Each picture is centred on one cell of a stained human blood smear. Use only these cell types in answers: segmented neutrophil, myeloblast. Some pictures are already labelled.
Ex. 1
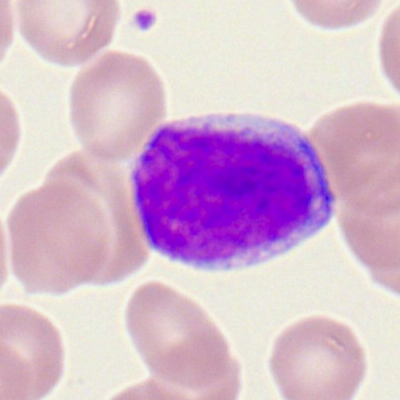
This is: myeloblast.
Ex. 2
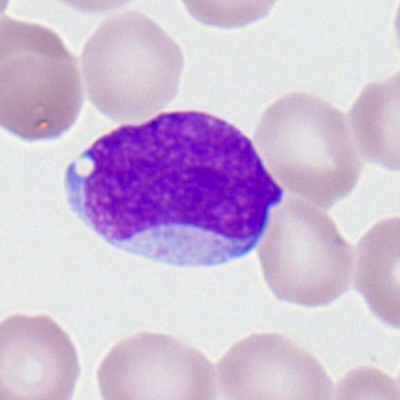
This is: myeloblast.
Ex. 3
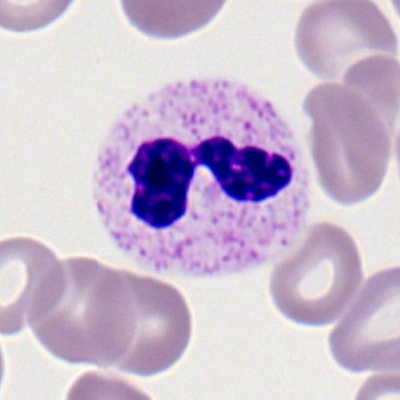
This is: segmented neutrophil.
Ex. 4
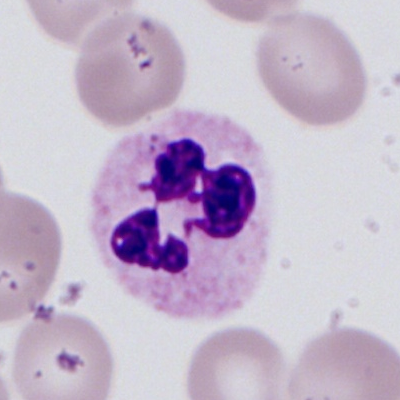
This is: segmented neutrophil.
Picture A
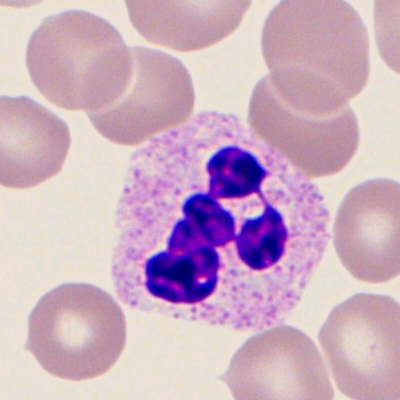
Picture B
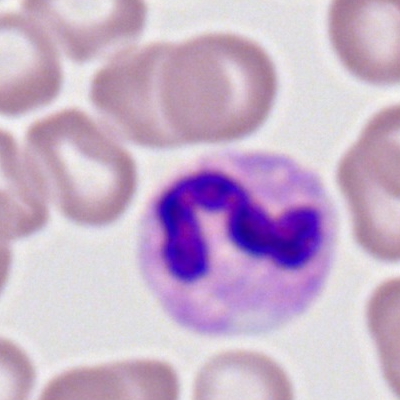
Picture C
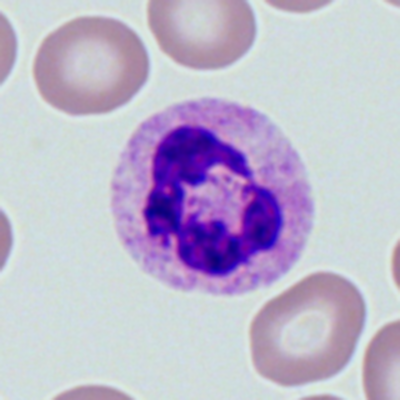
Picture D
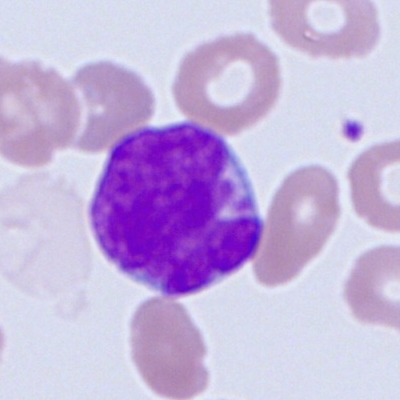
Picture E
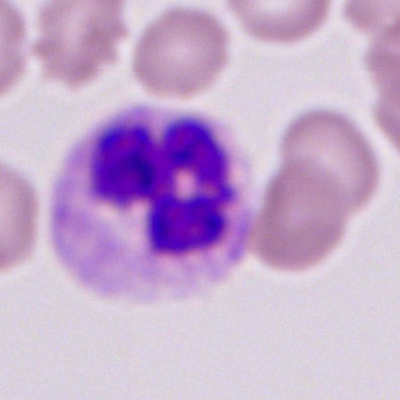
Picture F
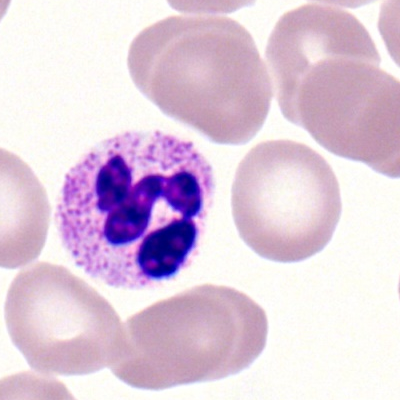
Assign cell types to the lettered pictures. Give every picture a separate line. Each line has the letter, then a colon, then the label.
A: segmented neutrophil.
B: segmented neutrophil.
C: segmented neutrophil.
D: myeloblast.
E: segmented neutrophil.
F: segmented neutrophil.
